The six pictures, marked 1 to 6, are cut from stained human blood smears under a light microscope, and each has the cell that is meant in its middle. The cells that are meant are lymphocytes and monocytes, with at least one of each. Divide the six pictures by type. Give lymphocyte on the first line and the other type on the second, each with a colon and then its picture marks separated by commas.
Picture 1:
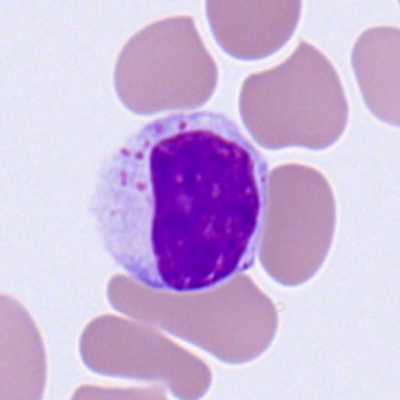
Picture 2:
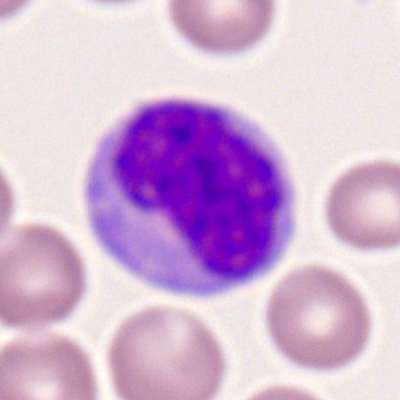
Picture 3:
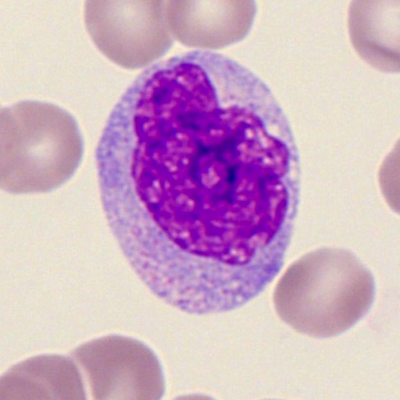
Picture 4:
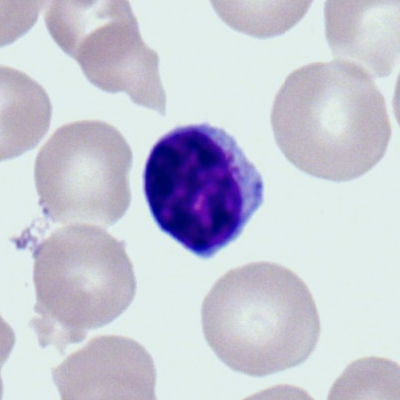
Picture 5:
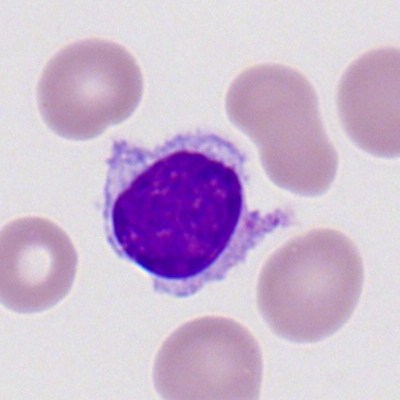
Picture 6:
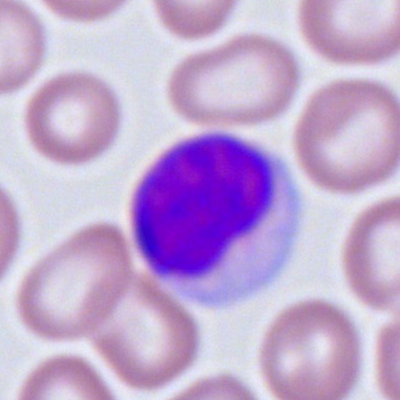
lymphocyte: 1, 4, 5, 6
monocyte: 2, 3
